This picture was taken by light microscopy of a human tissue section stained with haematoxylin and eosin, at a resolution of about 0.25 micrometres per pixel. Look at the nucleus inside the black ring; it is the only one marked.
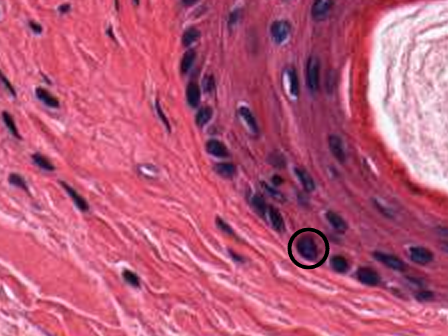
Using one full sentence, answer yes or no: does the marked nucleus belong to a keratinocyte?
Yes, the marked nucleus is the nucleus belonging to a keratinocyte.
